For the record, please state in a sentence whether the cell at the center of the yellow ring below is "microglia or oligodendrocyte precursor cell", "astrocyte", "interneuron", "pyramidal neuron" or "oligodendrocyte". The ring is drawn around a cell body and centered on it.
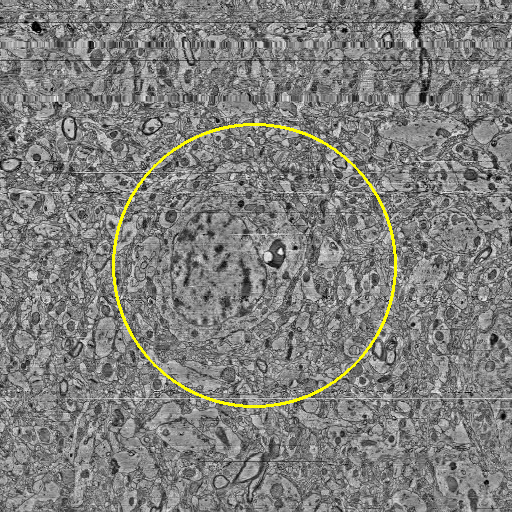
The cell at the ring's center is an interneuron.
